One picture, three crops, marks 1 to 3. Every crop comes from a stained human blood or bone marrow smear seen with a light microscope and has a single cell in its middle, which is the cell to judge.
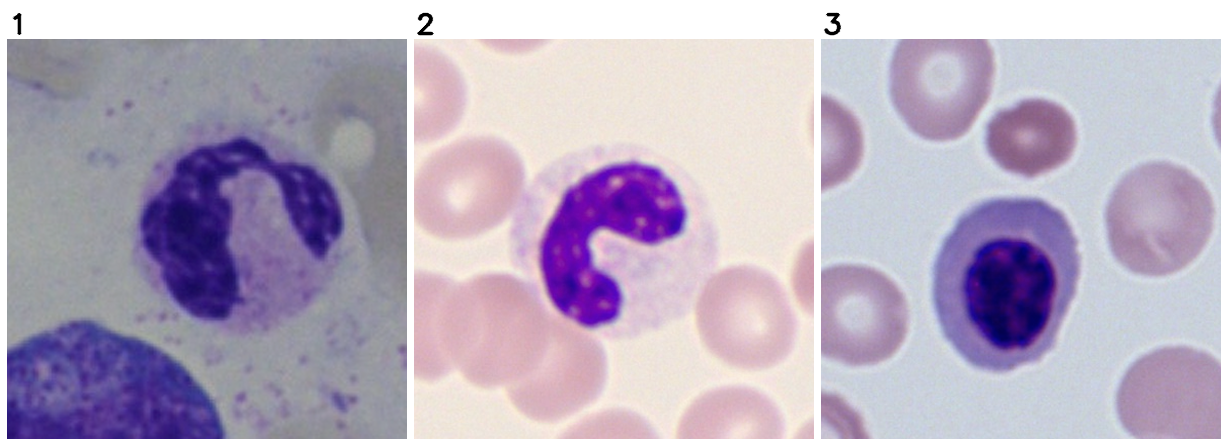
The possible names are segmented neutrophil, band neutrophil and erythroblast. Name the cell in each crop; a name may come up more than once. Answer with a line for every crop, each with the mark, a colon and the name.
1: segmented neutrophil
2: band neutrophil
3: erythroblast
